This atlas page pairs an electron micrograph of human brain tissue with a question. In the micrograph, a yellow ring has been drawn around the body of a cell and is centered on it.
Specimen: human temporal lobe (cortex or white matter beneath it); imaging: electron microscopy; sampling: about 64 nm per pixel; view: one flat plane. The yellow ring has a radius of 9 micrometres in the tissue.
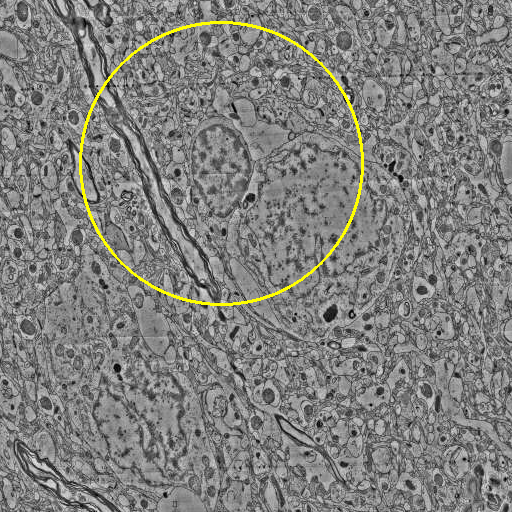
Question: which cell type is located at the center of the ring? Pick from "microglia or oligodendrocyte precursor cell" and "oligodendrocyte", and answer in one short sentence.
Located at the center of the ring is an oligodendrocyte.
